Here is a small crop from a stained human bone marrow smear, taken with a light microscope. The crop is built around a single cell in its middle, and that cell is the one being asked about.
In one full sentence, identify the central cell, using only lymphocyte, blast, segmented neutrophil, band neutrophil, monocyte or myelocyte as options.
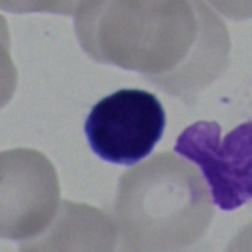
For this crop, the central cell is a lymphocyte.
